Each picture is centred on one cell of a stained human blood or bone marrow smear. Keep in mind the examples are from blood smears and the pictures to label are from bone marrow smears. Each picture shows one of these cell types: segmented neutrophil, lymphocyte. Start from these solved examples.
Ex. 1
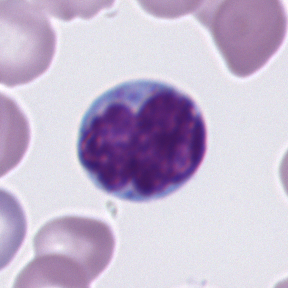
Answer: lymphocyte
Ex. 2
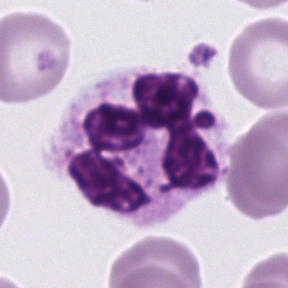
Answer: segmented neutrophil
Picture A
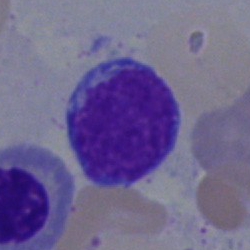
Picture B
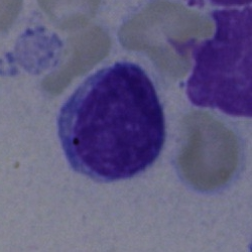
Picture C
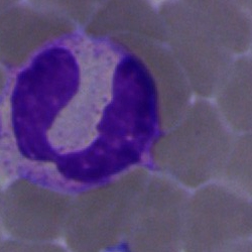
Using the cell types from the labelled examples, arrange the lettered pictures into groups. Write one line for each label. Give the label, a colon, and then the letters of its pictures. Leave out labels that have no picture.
segmented neutrophil: C
lymphocyte: A, B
